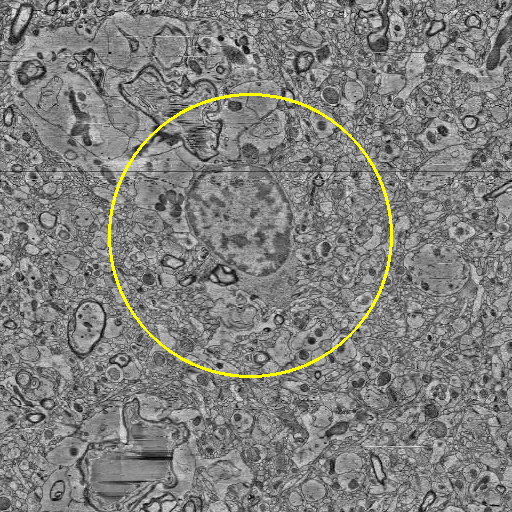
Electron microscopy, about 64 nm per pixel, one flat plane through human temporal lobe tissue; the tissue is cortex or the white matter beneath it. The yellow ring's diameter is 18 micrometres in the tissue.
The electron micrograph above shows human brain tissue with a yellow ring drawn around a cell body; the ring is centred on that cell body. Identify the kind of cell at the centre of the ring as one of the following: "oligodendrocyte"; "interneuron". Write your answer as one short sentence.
The cell at the centre of the ring is an oligodendrocyte.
